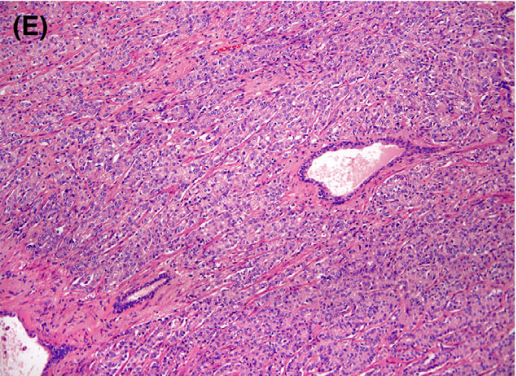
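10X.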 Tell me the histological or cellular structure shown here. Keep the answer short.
Poorly formed and fused glands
